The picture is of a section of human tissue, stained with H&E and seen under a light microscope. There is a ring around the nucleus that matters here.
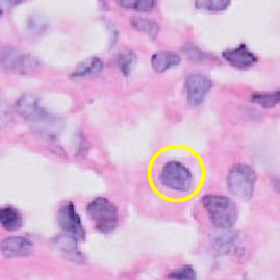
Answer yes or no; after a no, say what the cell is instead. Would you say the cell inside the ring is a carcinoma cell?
Yes.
